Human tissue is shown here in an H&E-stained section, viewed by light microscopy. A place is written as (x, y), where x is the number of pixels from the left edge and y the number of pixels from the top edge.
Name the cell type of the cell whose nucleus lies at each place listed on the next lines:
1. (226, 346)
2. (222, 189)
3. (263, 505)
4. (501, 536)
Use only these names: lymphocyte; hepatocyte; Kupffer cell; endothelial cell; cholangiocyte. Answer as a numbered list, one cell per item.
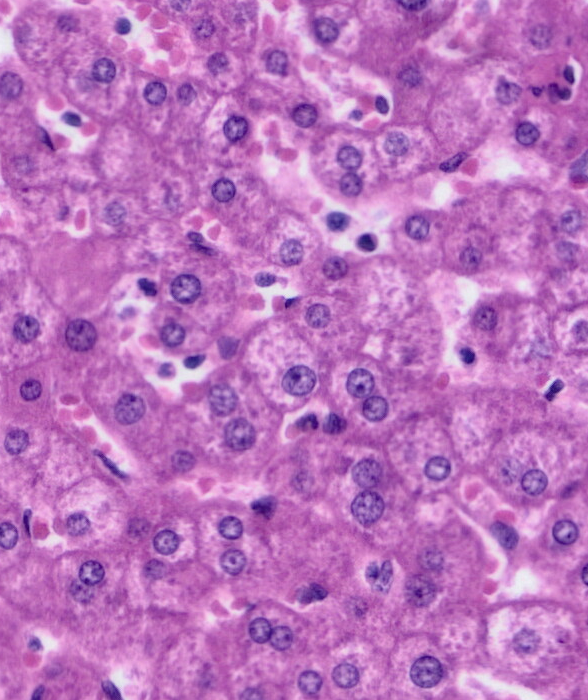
1. endothelial cell
2. hepatocyte
3. endothelial cell
4. Kupffer cell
